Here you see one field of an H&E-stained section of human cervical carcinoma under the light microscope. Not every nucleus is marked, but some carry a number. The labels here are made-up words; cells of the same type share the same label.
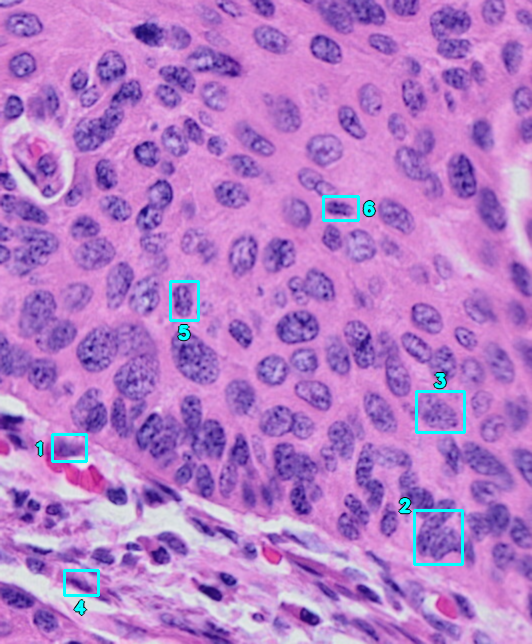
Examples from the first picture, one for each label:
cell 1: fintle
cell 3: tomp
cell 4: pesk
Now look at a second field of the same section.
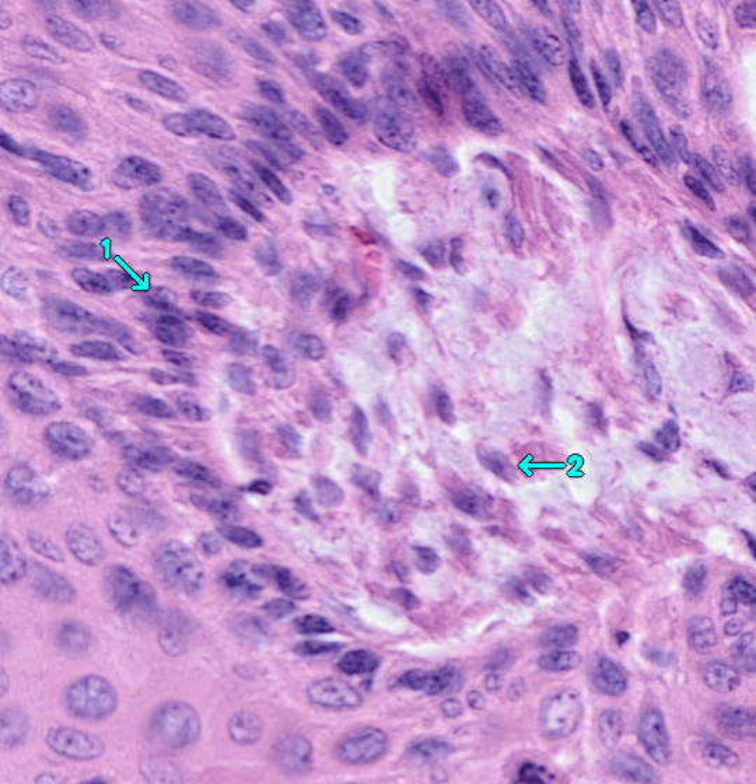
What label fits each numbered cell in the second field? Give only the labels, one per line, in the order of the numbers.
tomp
pesk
